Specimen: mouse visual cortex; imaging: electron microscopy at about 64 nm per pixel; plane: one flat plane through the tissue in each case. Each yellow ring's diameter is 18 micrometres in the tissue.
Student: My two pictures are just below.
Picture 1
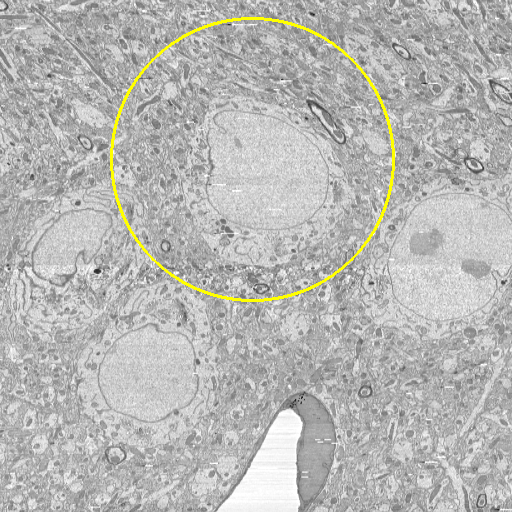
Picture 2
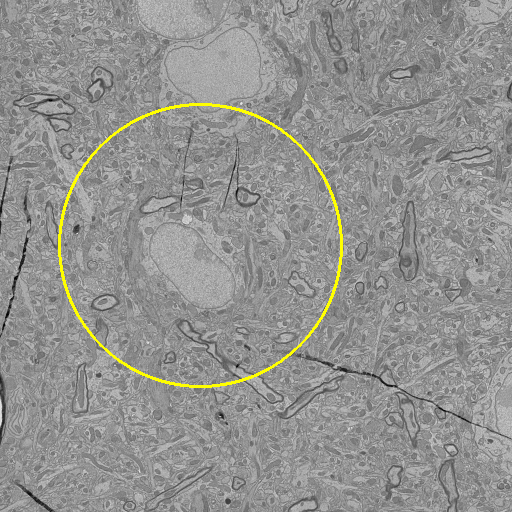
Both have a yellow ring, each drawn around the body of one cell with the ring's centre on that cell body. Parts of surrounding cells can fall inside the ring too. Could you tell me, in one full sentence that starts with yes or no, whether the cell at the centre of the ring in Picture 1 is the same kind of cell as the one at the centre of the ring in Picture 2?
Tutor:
No, the two cells are of two kinds.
